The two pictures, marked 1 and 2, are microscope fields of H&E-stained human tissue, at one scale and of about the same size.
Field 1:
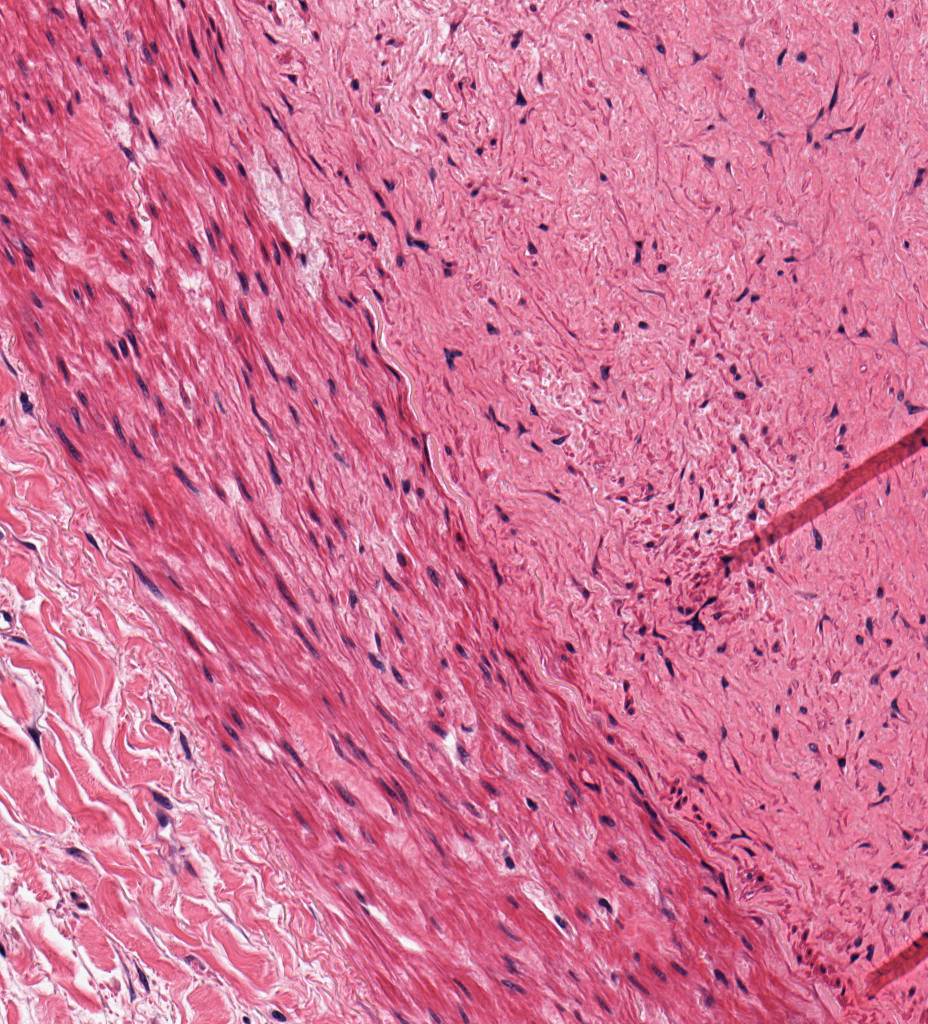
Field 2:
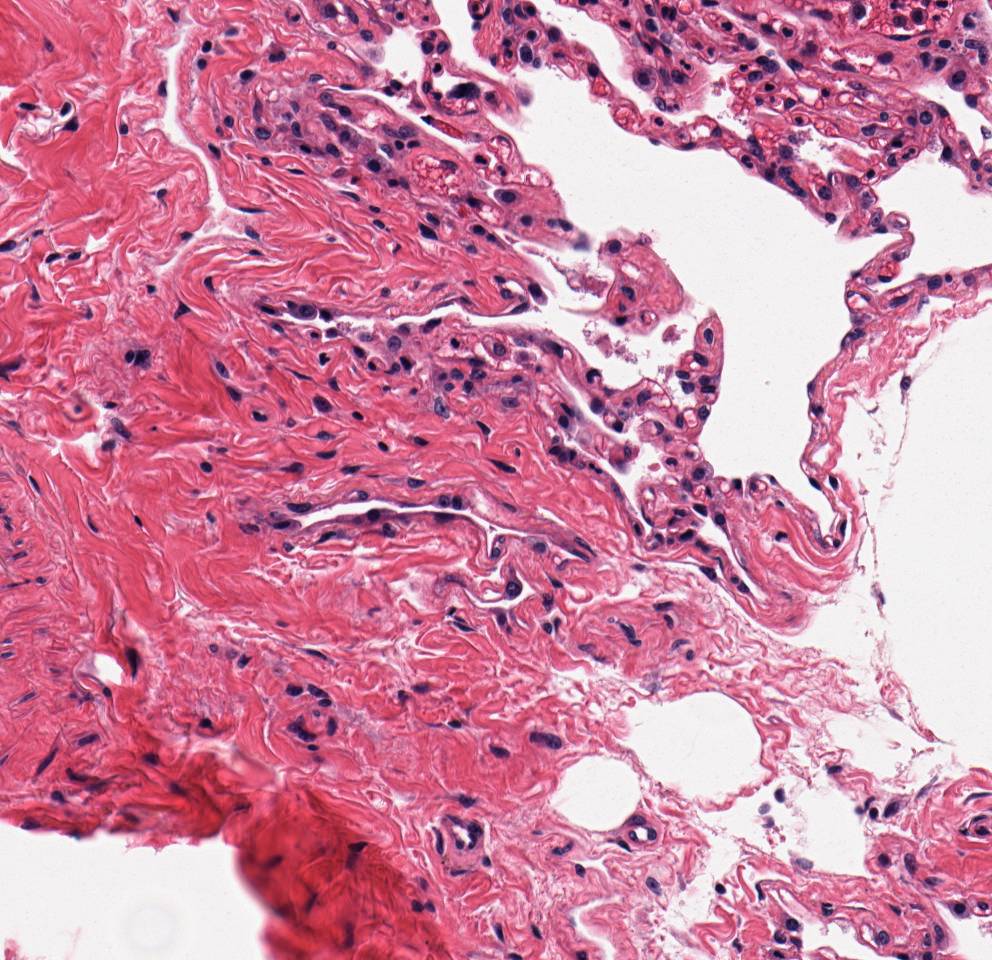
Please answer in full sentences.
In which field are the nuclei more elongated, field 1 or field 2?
It is field 1 whose nuclei are the more elongated.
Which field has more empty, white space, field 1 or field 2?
It is field 2 in which white space covers the larger part.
